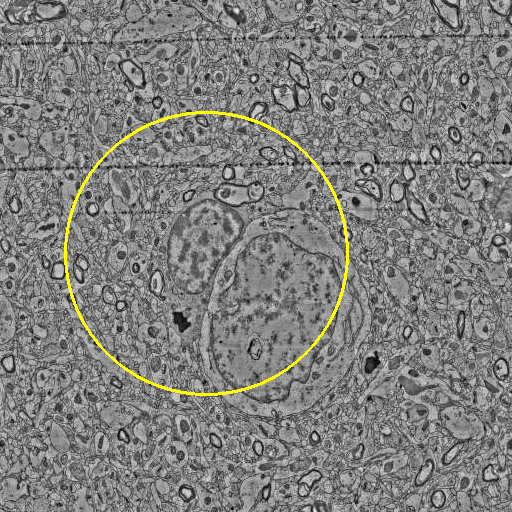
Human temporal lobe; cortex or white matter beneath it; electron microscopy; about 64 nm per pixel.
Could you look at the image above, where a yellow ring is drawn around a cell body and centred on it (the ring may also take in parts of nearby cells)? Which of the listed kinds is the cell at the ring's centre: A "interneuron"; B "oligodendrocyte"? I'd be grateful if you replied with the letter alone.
B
